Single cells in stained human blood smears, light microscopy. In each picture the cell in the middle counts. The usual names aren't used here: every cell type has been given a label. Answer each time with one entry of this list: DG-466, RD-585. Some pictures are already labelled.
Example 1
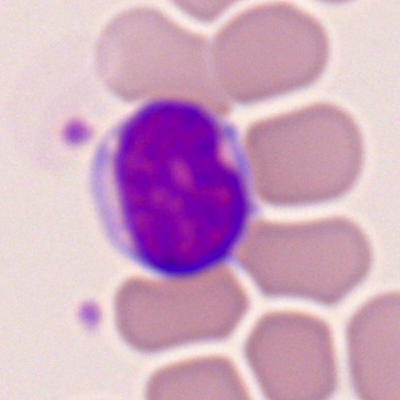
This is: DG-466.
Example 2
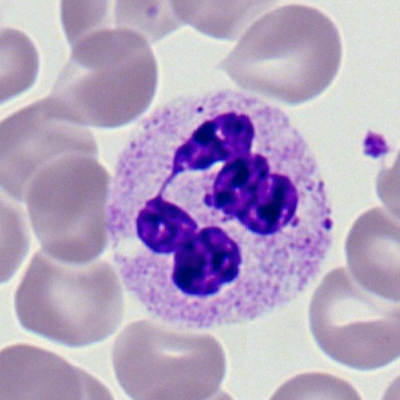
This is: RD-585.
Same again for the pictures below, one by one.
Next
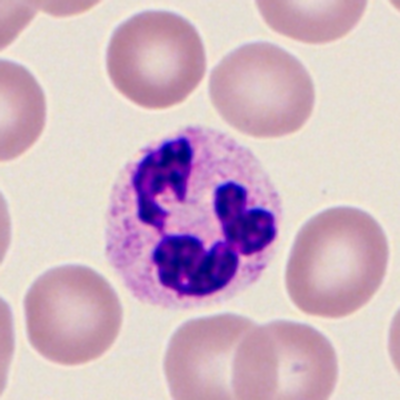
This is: RD-585.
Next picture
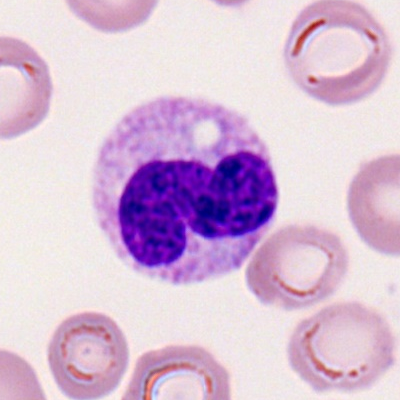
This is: RD-585.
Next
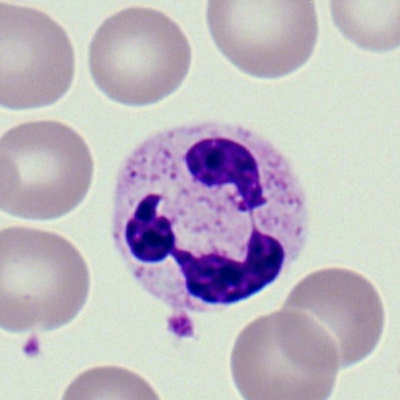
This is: RD-585.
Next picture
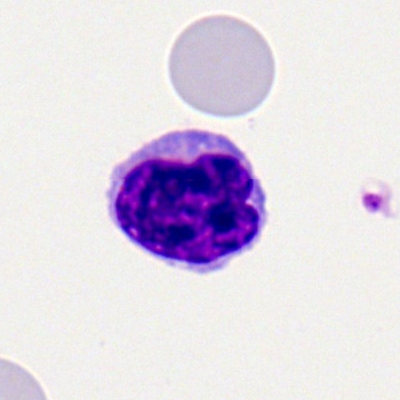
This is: DG-466.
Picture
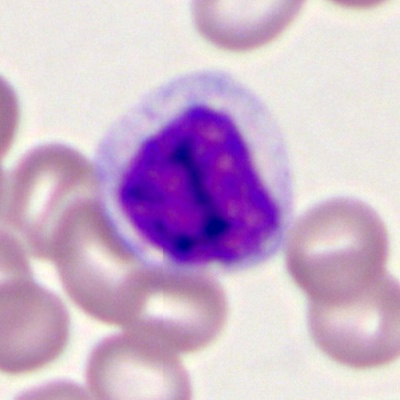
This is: DG-466.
